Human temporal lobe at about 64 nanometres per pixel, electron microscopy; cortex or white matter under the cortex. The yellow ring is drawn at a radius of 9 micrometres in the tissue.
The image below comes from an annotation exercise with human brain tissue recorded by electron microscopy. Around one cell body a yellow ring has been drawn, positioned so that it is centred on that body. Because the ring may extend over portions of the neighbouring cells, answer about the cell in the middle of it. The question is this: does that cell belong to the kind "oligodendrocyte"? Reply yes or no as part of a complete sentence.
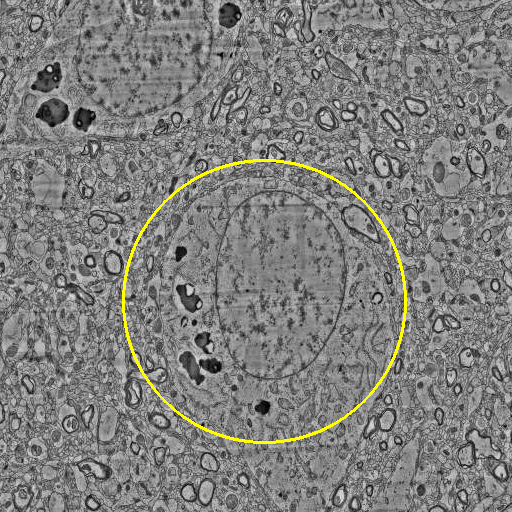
No, in the image the cell in the middle of the ring is of another kind.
